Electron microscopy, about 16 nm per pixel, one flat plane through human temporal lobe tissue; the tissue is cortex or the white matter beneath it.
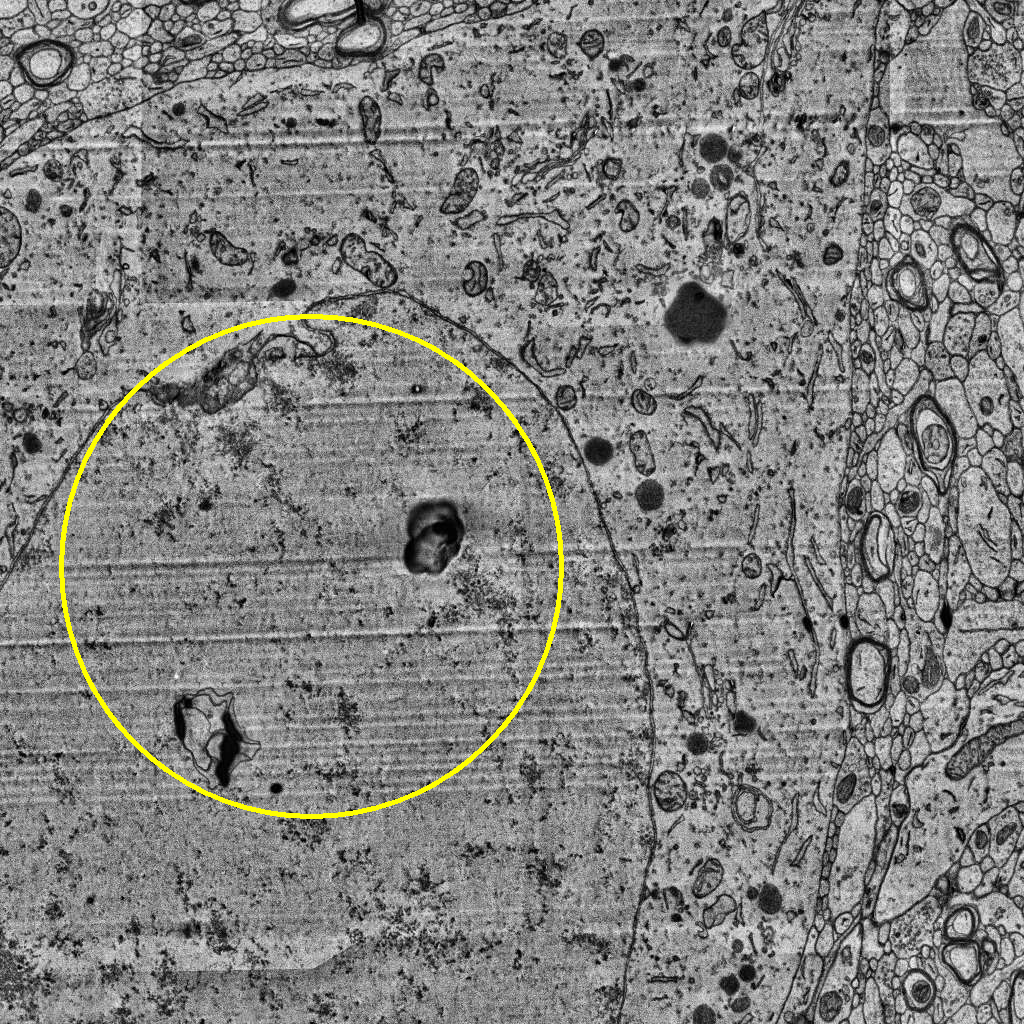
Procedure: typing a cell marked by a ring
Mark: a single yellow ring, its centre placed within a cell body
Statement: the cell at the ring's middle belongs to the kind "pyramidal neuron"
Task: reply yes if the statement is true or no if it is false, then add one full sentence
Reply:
Yes, this is true: the cell at the ring's centre in the picture belongs to that kind.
